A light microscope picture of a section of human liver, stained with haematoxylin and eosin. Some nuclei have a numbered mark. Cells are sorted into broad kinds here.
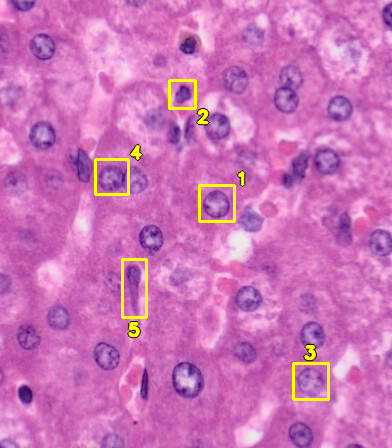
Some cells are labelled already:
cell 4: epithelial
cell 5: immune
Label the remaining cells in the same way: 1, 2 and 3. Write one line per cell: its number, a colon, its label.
1: epithelial
2: immune
3: epithelial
